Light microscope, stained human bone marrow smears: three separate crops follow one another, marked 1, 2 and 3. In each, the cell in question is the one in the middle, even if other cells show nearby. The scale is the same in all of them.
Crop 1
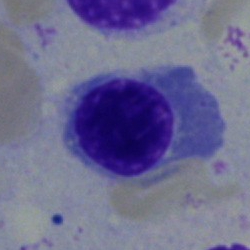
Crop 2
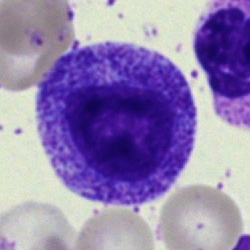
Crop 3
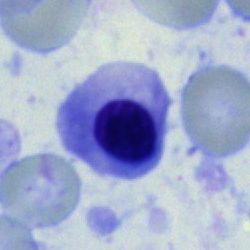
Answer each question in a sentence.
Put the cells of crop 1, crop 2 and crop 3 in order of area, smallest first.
Going up, they run 3, 1, 2.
